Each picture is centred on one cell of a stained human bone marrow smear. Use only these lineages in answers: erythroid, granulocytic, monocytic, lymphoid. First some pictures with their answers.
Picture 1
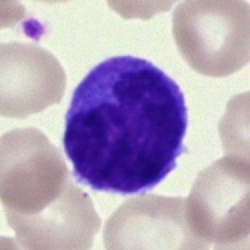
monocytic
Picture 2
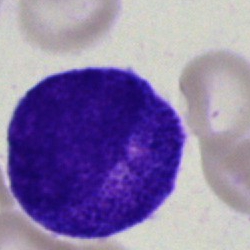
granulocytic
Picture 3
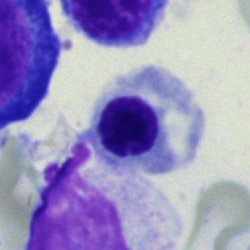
erythroid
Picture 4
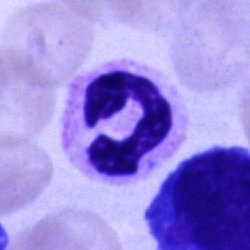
granulocytic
